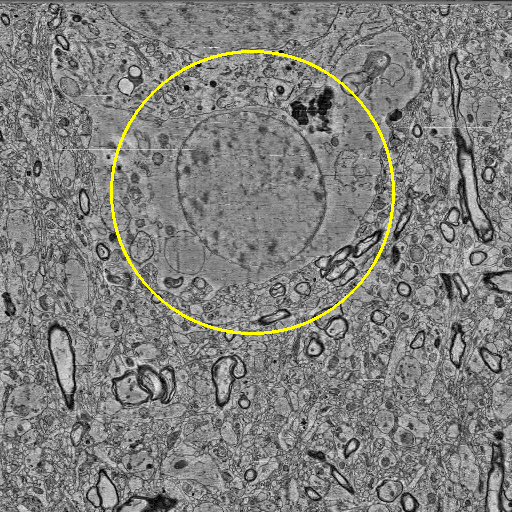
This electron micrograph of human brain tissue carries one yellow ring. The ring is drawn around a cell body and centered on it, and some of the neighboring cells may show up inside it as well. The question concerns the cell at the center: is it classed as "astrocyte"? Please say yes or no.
Yes, it is classed that way.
